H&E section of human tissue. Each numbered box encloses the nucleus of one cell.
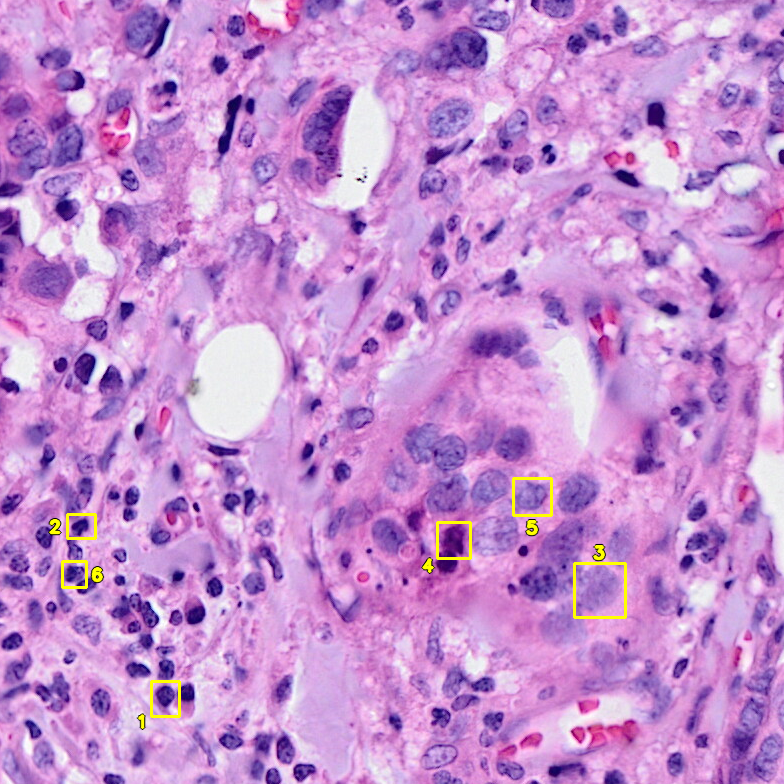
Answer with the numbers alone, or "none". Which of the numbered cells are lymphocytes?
1, 2, 6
